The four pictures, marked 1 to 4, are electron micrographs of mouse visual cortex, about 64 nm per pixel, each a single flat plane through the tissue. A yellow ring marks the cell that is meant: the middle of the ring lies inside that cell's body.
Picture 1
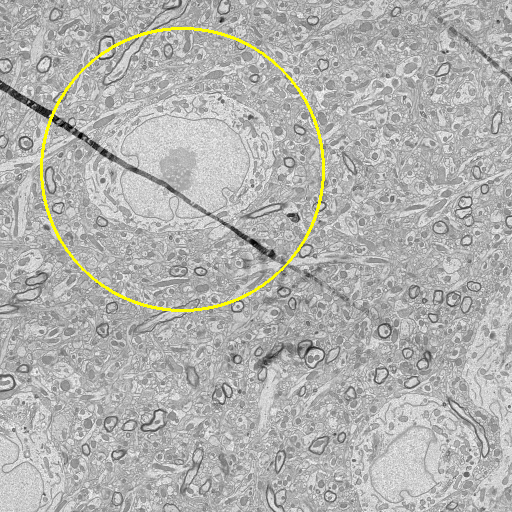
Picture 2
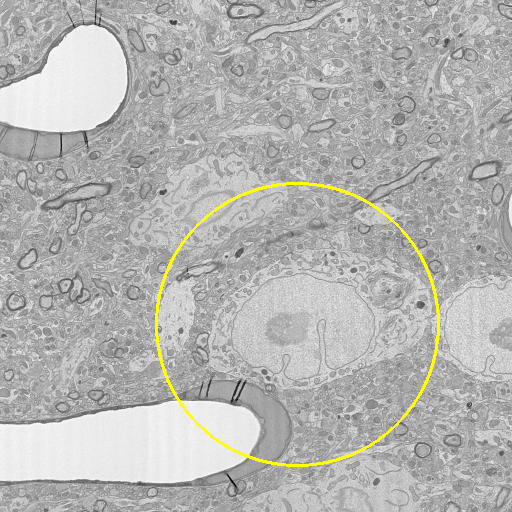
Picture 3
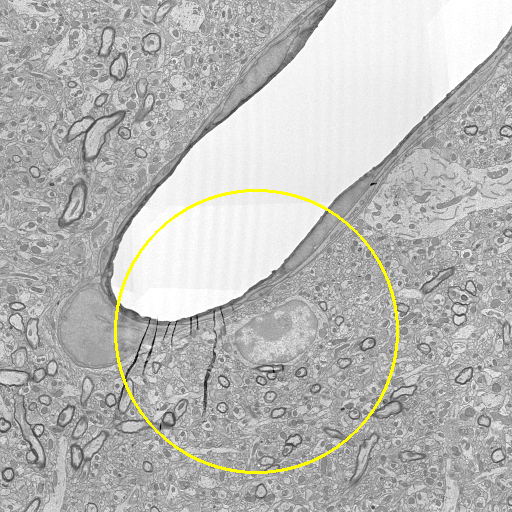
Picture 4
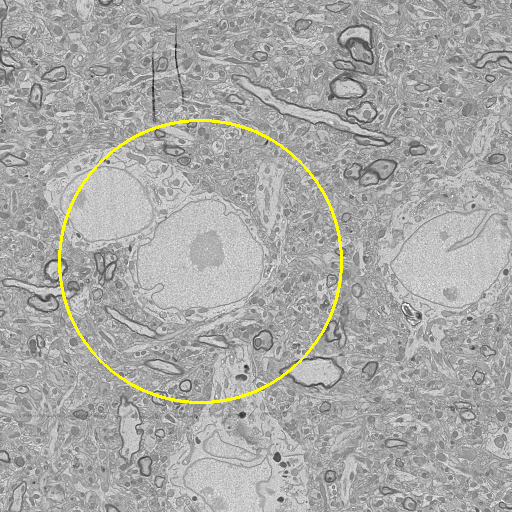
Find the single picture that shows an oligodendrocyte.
Picture 3 is the one that shows the oligodendrocyte.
